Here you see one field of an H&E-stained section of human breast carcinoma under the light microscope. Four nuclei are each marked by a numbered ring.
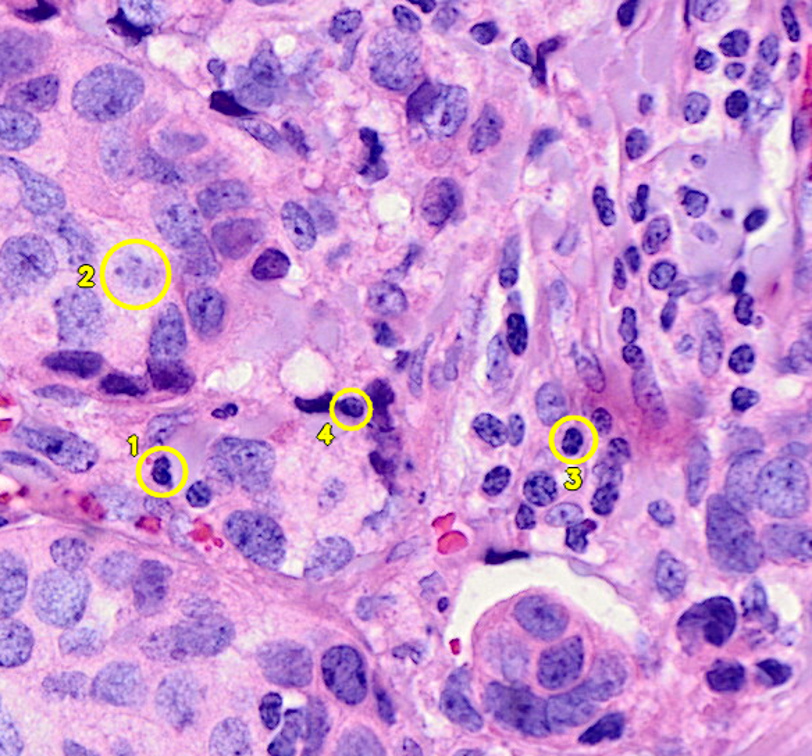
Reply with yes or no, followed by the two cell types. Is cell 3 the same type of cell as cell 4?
Yes, cells 3 and 4 are both termed lymphocytes.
